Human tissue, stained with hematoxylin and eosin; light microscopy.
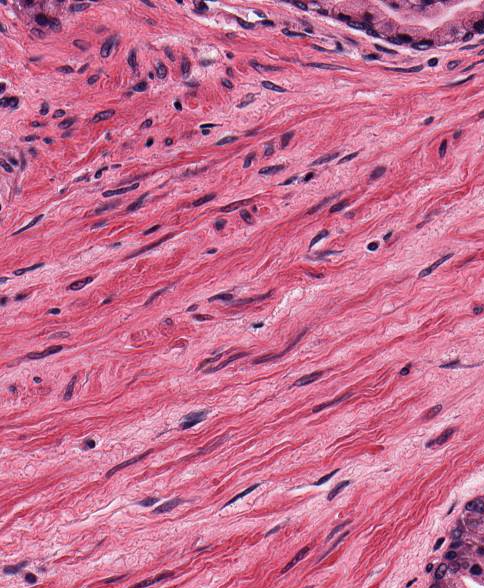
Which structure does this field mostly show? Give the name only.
fibromuscular stroma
